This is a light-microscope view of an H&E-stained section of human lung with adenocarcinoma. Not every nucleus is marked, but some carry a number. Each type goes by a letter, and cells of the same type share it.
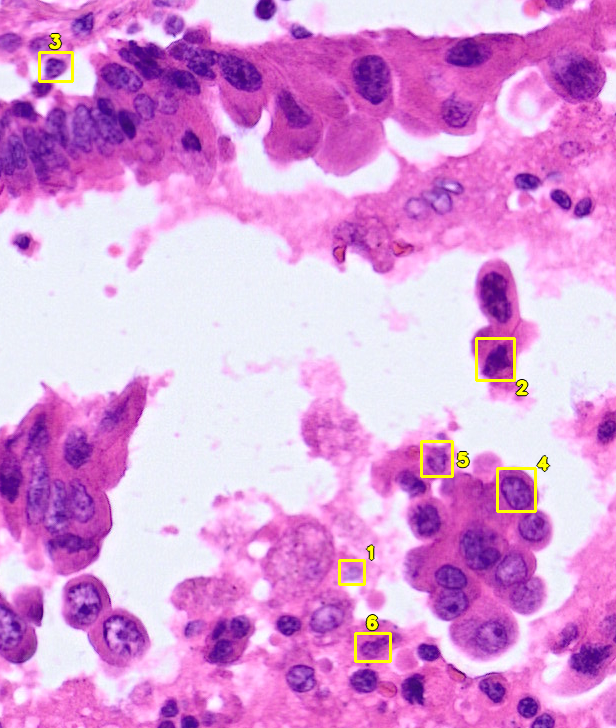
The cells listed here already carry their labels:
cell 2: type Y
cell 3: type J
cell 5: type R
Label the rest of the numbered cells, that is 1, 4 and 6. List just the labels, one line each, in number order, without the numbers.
type R
type Y
type R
